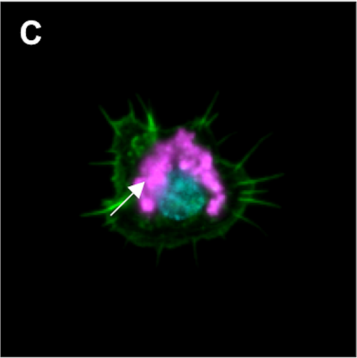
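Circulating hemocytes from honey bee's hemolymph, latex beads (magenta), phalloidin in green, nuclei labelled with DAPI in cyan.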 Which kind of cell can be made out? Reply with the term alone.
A: granulocyte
